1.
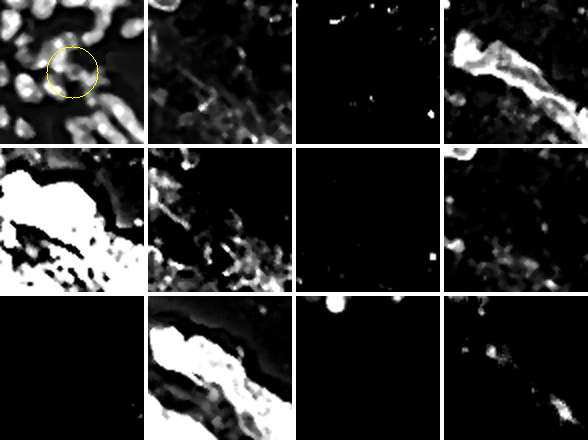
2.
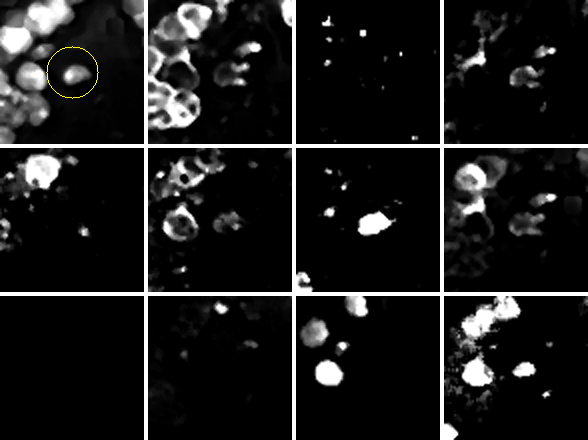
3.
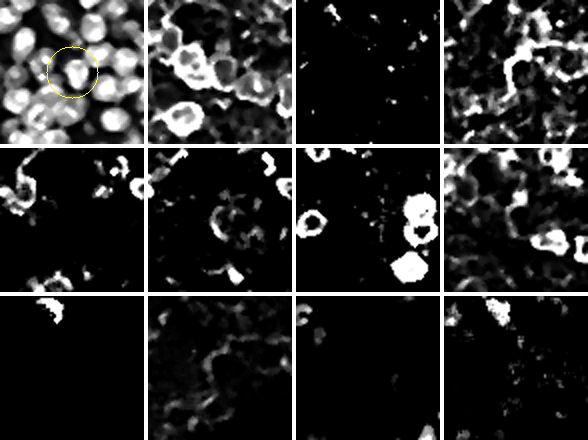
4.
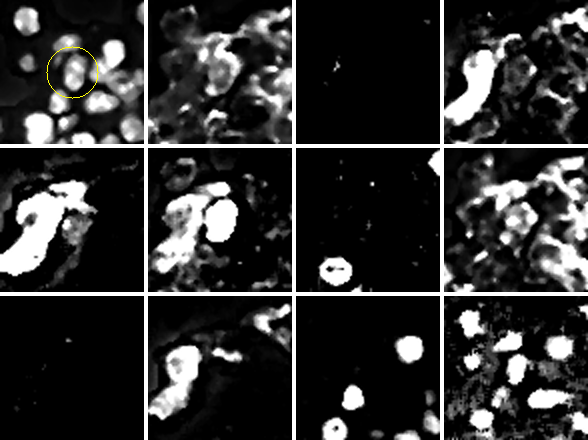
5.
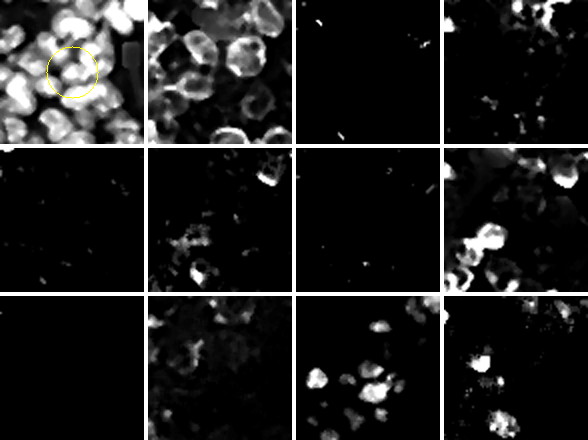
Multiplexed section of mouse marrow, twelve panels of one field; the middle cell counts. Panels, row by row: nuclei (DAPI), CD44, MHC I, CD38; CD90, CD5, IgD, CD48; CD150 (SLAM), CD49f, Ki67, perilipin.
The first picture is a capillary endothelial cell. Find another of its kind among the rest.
Picture 3.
